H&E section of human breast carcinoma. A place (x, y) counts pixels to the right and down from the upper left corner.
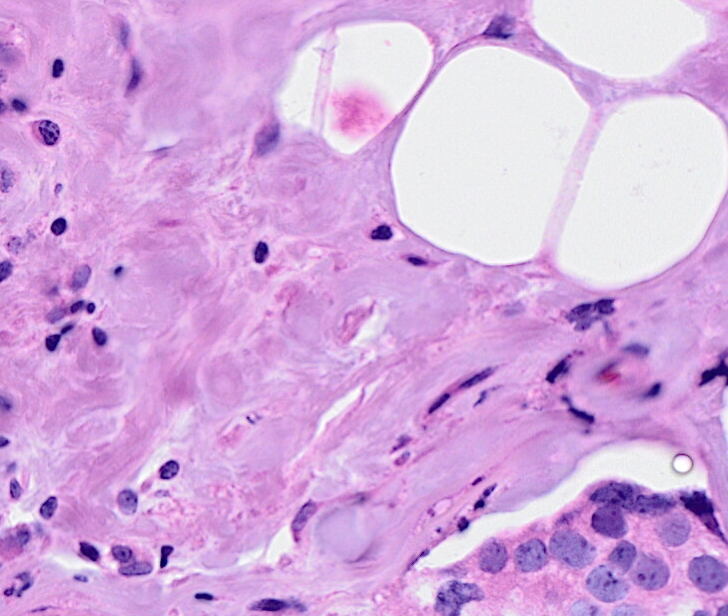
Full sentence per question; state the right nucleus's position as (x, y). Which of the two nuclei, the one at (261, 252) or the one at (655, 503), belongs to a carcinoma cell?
Of the two options, the nucleus at (655, 503) is the one that belongs to a carcinoma cell.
